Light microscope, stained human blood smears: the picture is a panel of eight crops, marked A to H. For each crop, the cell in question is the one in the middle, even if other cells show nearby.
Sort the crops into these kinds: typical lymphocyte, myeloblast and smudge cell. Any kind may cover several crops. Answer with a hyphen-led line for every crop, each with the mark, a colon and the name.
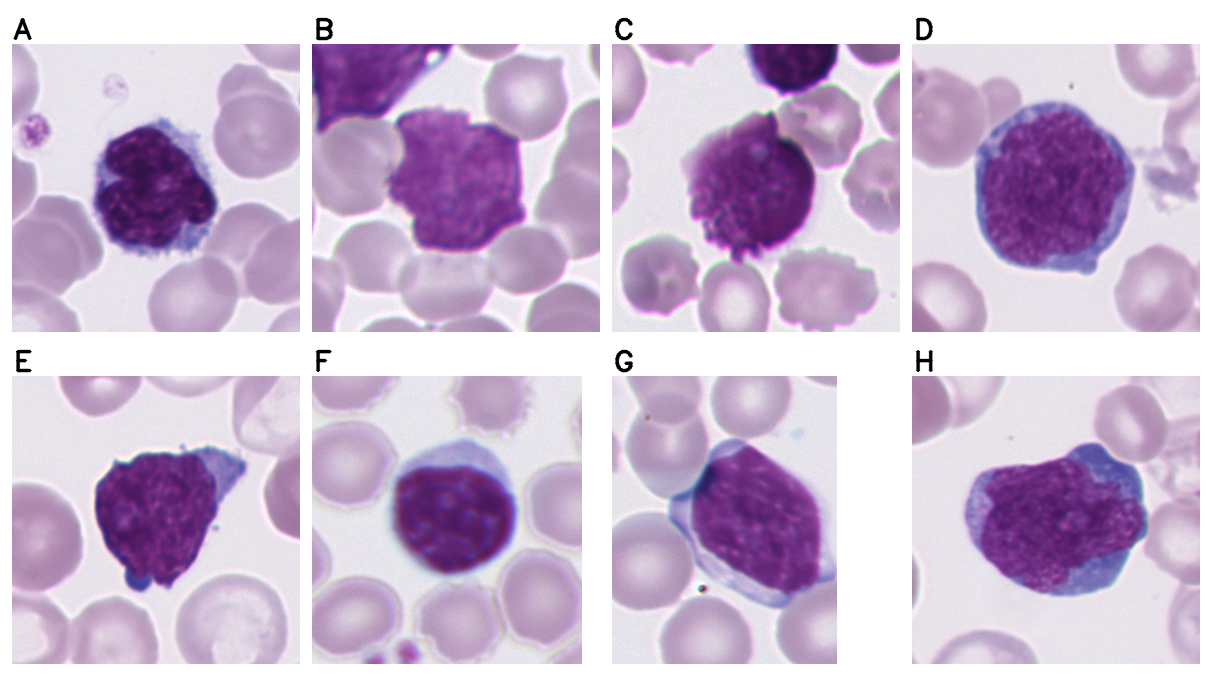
- A: typical lymphocyte
- B: smudge cell
- C: smudge cell
- D: myeloblast
- E: myeloblast
- F: typical lymphocyte
- G: typical lymphocyte
- H: myeloblast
